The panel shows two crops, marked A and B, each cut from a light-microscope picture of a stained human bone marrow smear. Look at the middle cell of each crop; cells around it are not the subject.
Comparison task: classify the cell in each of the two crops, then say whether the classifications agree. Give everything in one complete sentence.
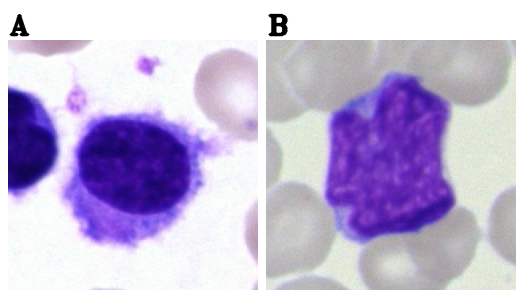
No, the cell of interest in crop A is a hairy cell, and in crop B it is a blast.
